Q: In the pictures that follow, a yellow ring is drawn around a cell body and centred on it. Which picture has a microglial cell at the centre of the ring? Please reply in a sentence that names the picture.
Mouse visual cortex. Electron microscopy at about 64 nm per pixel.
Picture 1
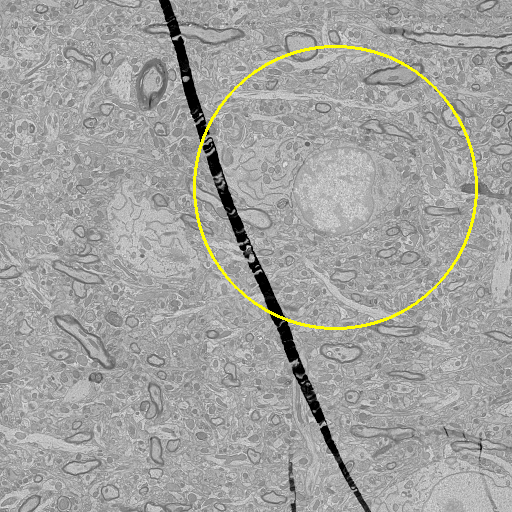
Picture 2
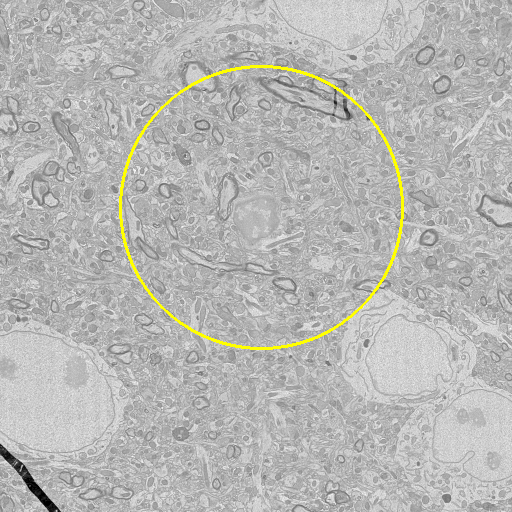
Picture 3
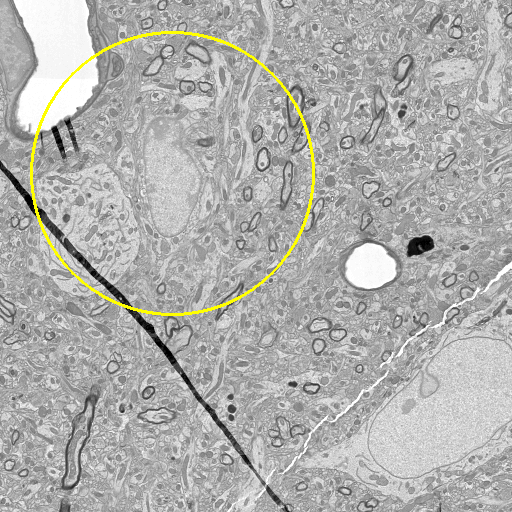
Picture 2 shows it at the centre of its ring.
